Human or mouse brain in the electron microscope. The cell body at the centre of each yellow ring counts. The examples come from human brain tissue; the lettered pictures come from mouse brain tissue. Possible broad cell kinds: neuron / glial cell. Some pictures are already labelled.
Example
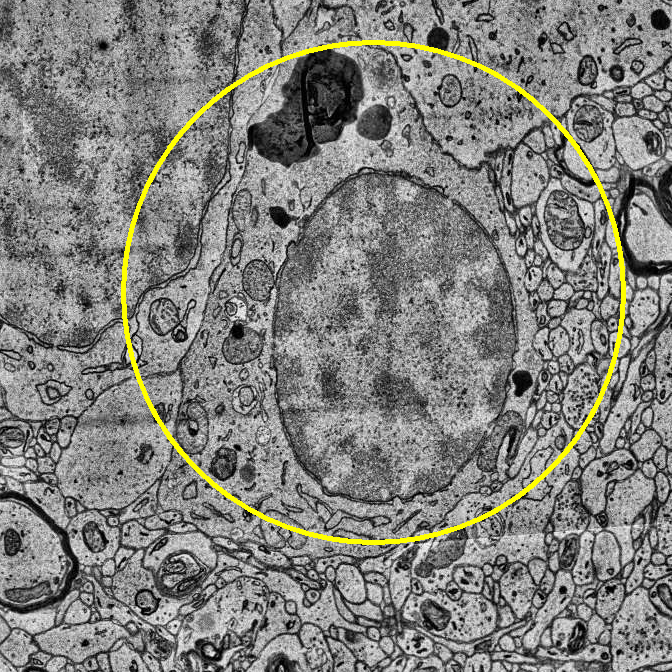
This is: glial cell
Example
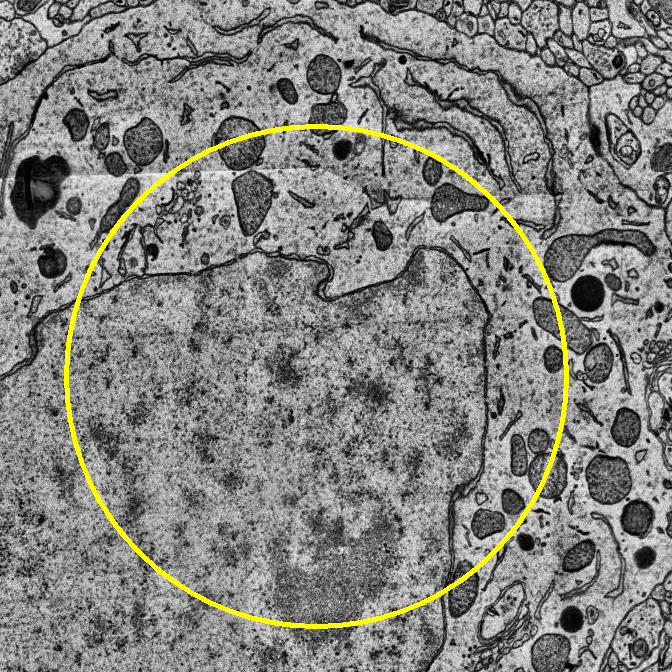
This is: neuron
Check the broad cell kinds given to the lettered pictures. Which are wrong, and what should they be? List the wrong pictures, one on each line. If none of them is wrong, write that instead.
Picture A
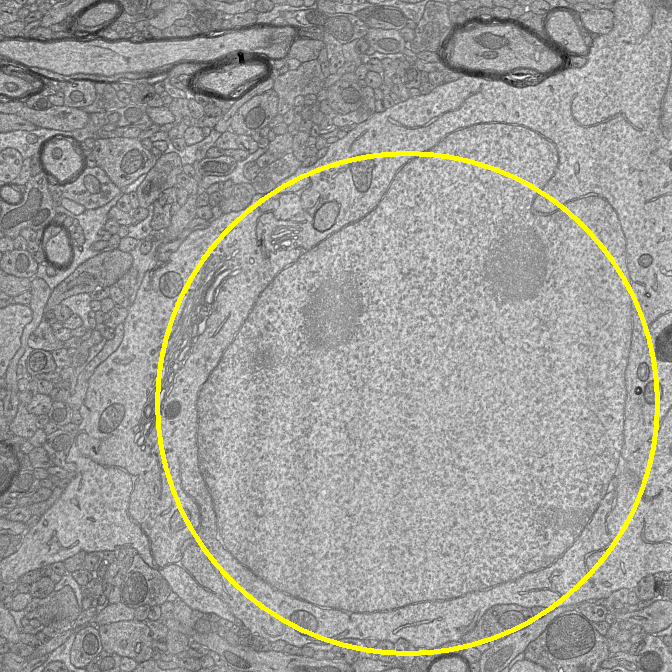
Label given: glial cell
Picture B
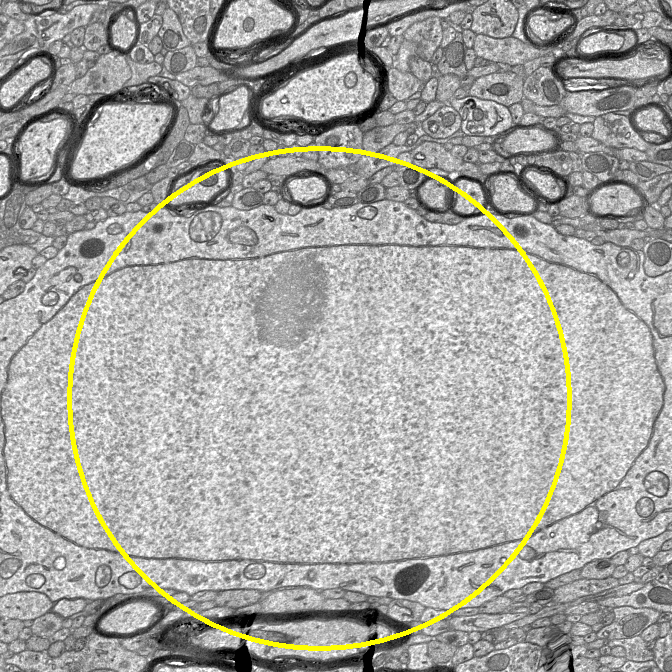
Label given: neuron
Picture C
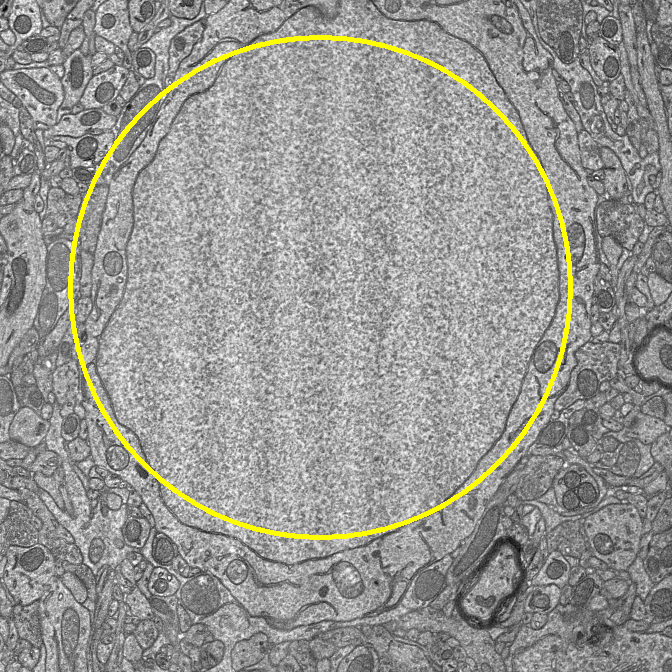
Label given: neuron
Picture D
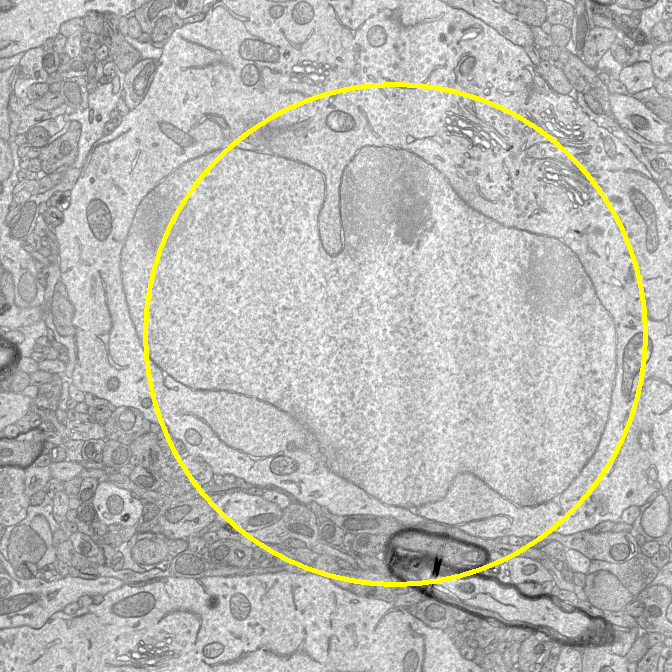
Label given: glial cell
A: change glial cell to neuron
D: change glial cell to neuron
